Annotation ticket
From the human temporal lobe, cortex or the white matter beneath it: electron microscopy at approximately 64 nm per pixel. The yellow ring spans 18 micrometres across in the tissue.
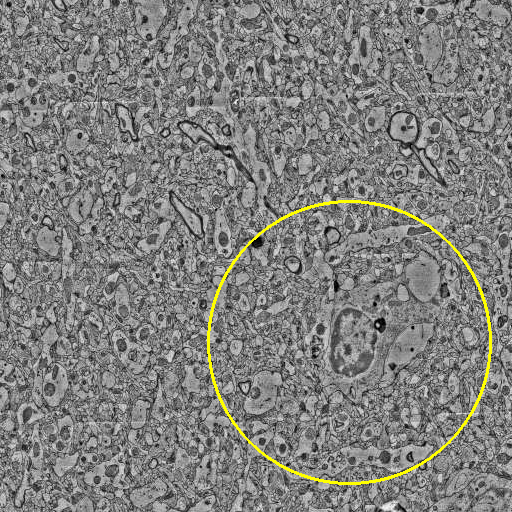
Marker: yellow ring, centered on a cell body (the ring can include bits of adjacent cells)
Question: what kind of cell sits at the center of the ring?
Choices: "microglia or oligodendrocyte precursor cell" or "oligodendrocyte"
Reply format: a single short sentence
The ring is centered on a microglial cell or oligodendrocyte precursor cell.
